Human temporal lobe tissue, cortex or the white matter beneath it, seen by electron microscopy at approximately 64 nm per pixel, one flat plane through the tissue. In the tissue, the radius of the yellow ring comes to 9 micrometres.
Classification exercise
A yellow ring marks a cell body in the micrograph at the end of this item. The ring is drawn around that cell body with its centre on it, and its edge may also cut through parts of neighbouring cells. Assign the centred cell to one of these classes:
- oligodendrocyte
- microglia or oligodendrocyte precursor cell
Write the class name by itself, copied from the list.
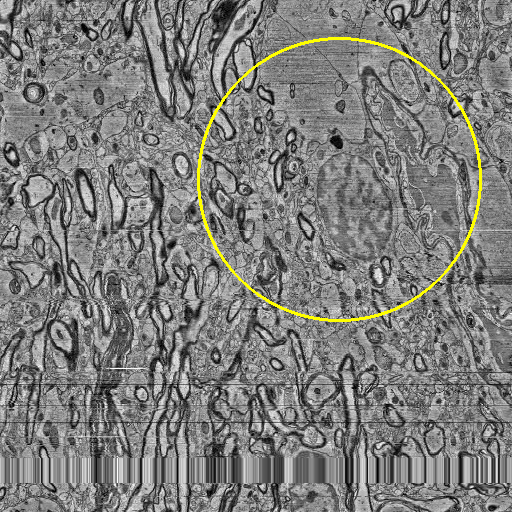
oligodendrocyte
